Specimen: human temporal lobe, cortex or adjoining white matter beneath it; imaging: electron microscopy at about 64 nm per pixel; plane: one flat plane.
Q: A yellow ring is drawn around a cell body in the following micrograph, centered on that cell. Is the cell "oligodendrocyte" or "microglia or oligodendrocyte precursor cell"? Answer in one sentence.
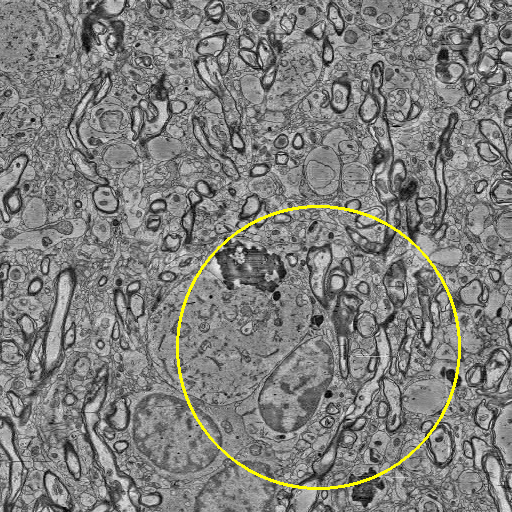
The cell in the center of the ring is a microglial cell or oligodendrocyte precursor cell.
